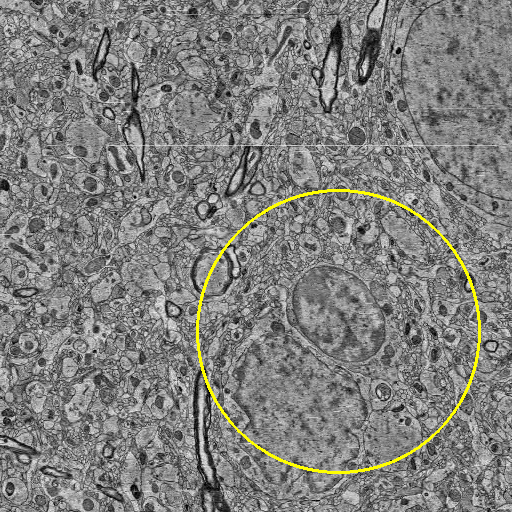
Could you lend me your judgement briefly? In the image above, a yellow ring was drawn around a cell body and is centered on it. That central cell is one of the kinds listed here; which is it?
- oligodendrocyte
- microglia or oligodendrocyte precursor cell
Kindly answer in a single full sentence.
Going by the list, an oligodendrocyte is the kind at the ring's center in the picture.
